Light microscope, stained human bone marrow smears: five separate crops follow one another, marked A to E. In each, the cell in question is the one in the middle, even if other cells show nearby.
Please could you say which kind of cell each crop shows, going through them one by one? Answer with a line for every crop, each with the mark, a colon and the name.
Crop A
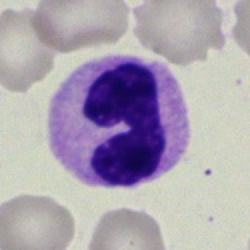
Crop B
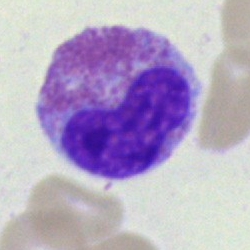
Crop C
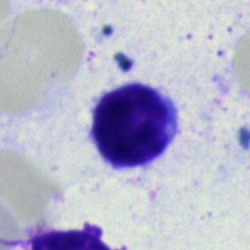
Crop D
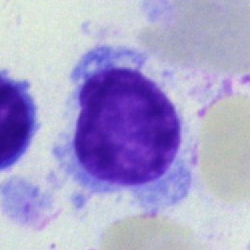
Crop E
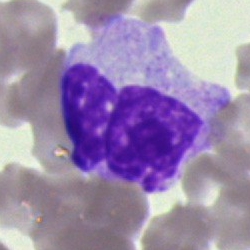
A: band neutrophil
B: eosinophil
C: lymphocyte
D: hairy cell
E: monocyte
